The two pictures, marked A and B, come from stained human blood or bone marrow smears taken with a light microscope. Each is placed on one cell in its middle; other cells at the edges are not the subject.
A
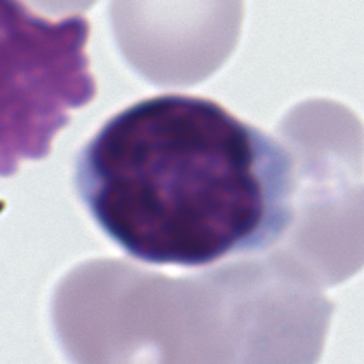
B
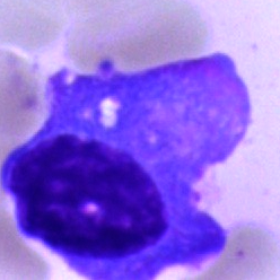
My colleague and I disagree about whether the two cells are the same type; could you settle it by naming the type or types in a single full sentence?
No, a plasma cell is the cell in crop B, and crop A contains a lymphocyte.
